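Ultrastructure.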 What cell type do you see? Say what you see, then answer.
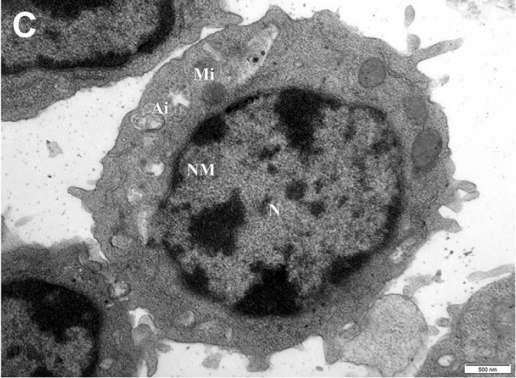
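A rounded cell with a large round nucleus. Dark heterochromatin patches in the nucleus.
Hence: lymphocytes.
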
